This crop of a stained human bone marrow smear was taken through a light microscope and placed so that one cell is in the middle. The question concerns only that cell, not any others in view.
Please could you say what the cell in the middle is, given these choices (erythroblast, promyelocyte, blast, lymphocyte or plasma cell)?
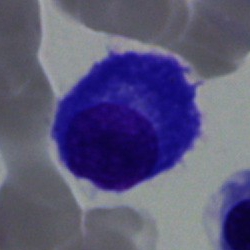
plasma cell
